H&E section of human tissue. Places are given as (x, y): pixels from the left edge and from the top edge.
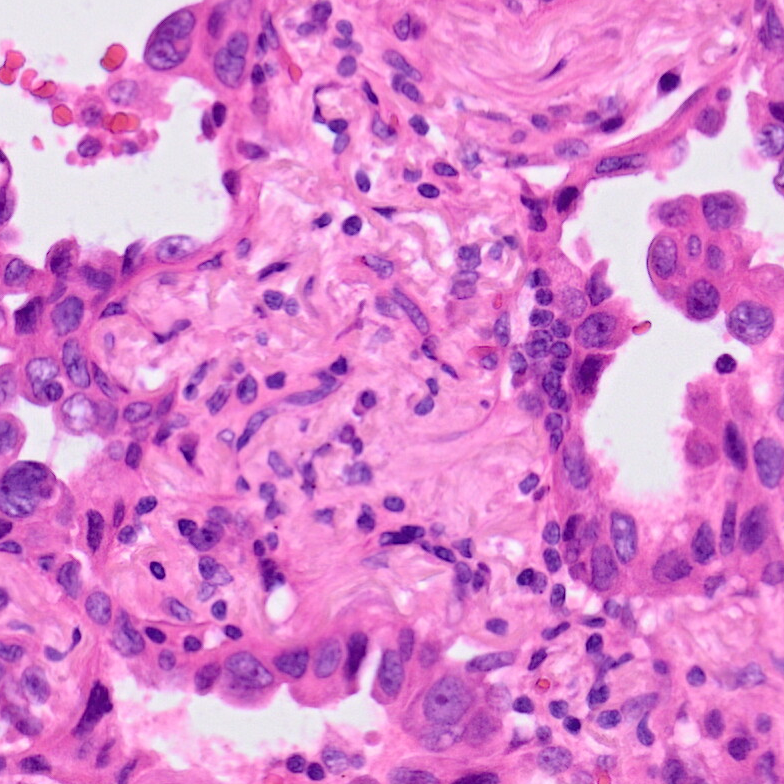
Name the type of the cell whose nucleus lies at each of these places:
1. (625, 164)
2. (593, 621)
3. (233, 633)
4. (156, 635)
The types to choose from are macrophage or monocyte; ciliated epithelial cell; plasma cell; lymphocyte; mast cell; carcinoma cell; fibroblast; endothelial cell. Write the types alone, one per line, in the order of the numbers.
carcinoma cell
lymphocyte
lymphocyte
lymphocyte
